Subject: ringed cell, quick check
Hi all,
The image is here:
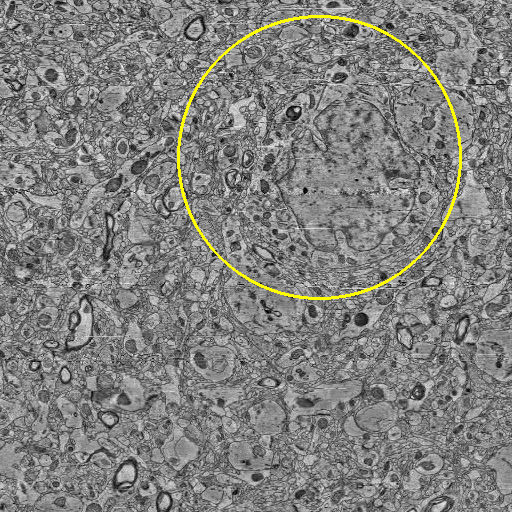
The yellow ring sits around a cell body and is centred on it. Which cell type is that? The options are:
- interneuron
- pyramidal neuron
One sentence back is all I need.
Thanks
That ringed cell is an interneuron.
